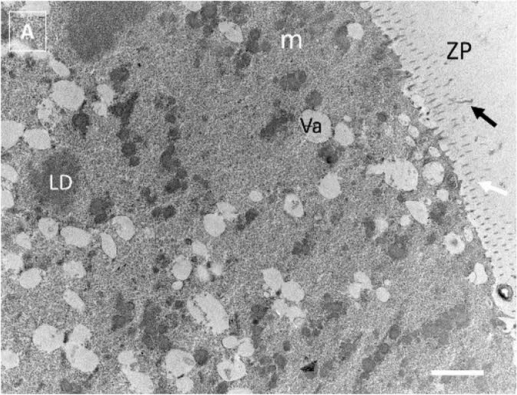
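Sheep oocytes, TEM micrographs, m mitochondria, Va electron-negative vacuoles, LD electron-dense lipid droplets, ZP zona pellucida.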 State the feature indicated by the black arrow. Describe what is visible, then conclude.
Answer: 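Transzonal projections. A thin dark thread lies within the pale zona layer. It runs across the zona rather than along the cell surface.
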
